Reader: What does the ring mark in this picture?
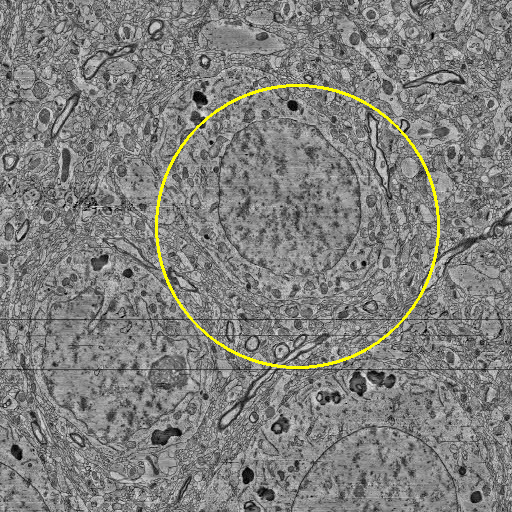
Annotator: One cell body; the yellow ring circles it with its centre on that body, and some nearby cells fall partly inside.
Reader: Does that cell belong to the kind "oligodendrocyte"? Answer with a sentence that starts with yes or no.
No, the cell at the ring's centre in this picture is of another kind.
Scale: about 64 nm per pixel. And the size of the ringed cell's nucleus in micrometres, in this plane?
In this plane, approximately 11 by 9 micrometers.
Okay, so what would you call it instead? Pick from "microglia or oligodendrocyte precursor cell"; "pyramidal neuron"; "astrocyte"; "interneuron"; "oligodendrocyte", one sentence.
The cell in the ring is an interneuron instead.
